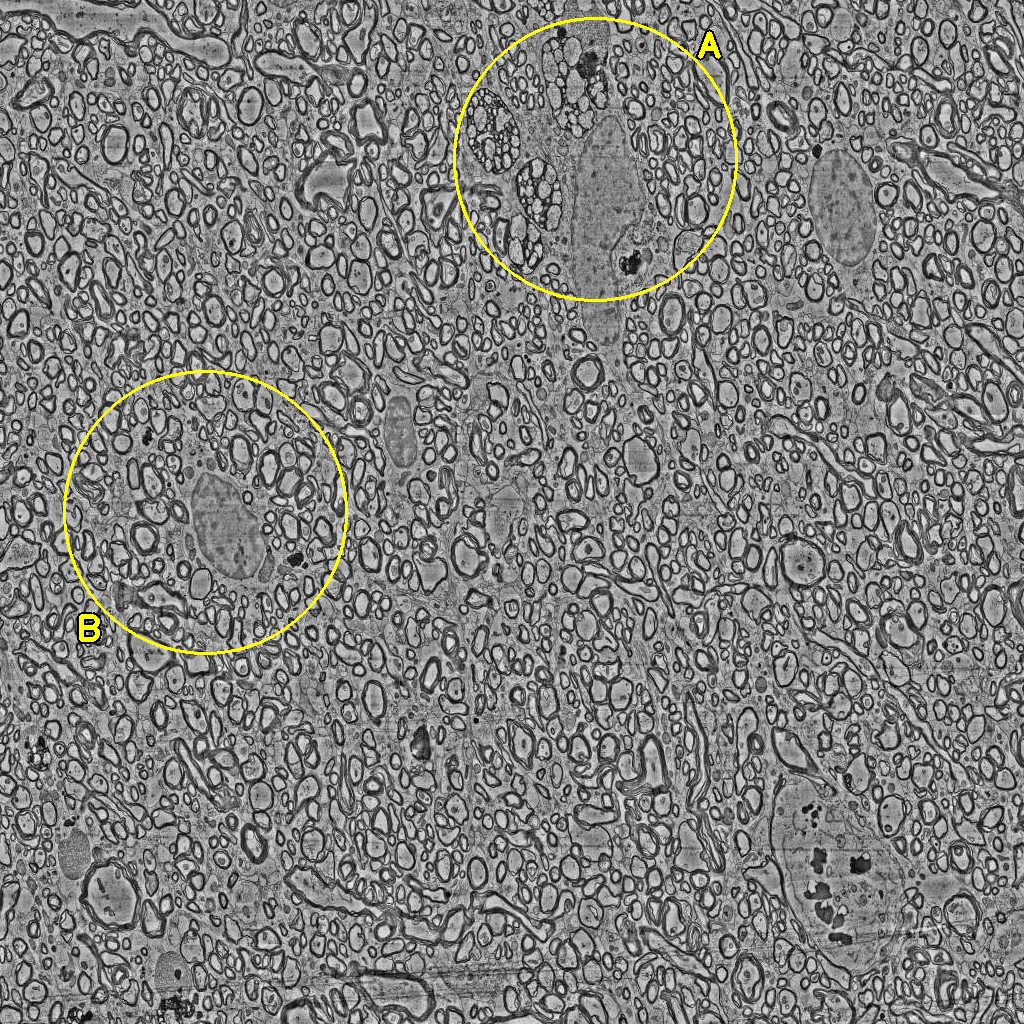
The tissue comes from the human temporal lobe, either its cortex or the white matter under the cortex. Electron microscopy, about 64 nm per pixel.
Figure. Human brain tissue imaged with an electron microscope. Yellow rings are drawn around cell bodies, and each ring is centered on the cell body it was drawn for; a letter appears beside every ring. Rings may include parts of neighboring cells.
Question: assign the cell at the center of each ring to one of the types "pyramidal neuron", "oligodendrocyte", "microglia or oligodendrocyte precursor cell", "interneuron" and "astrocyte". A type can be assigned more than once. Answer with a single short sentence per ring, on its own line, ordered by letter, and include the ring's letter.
Centered in ring A is an astrocyte.
Centered in ring B is an oligodendrocyte.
